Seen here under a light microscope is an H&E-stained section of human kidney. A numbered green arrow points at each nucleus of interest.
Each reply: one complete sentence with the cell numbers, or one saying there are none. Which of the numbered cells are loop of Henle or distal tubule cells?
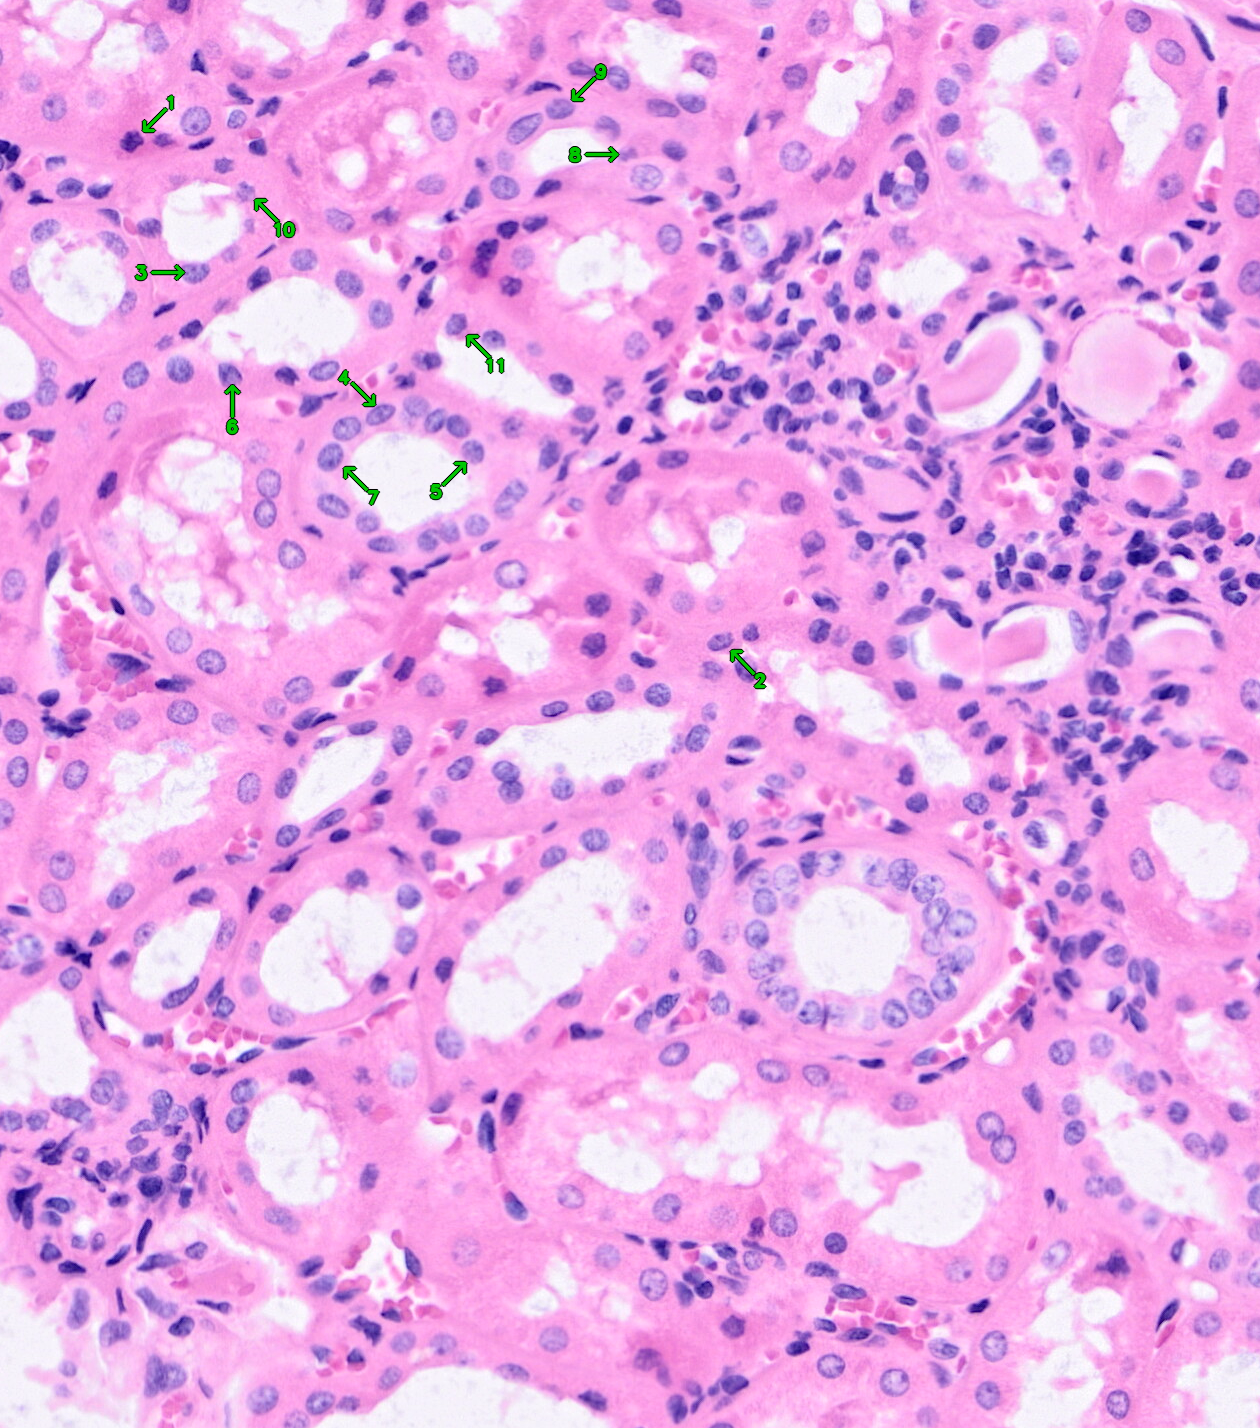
Classified as loop of Henle or distal tubule cells are the cells numbered 2, 3, 6, 10 and 11.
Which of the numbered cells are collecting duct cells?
The cells that have been numbered 4, 5, 7, 8 and 9 are collecting duct cells.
